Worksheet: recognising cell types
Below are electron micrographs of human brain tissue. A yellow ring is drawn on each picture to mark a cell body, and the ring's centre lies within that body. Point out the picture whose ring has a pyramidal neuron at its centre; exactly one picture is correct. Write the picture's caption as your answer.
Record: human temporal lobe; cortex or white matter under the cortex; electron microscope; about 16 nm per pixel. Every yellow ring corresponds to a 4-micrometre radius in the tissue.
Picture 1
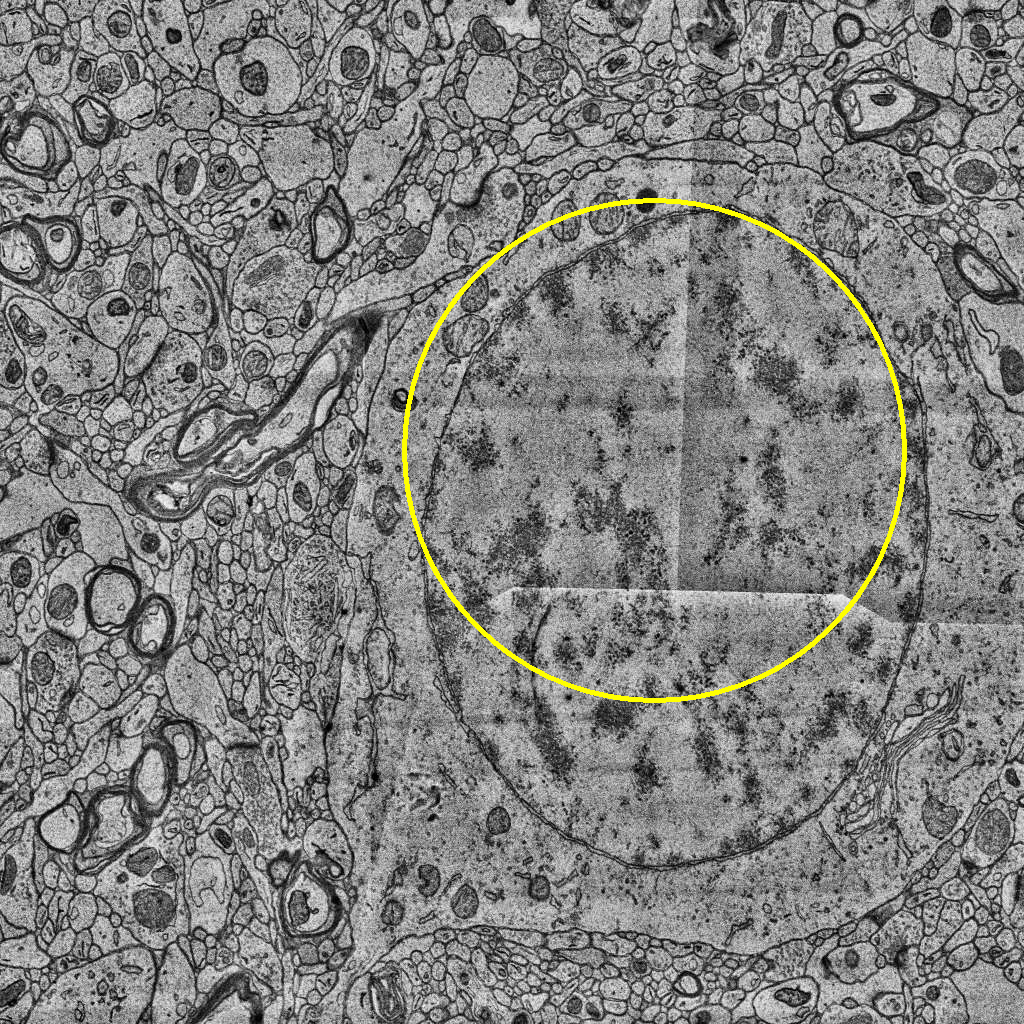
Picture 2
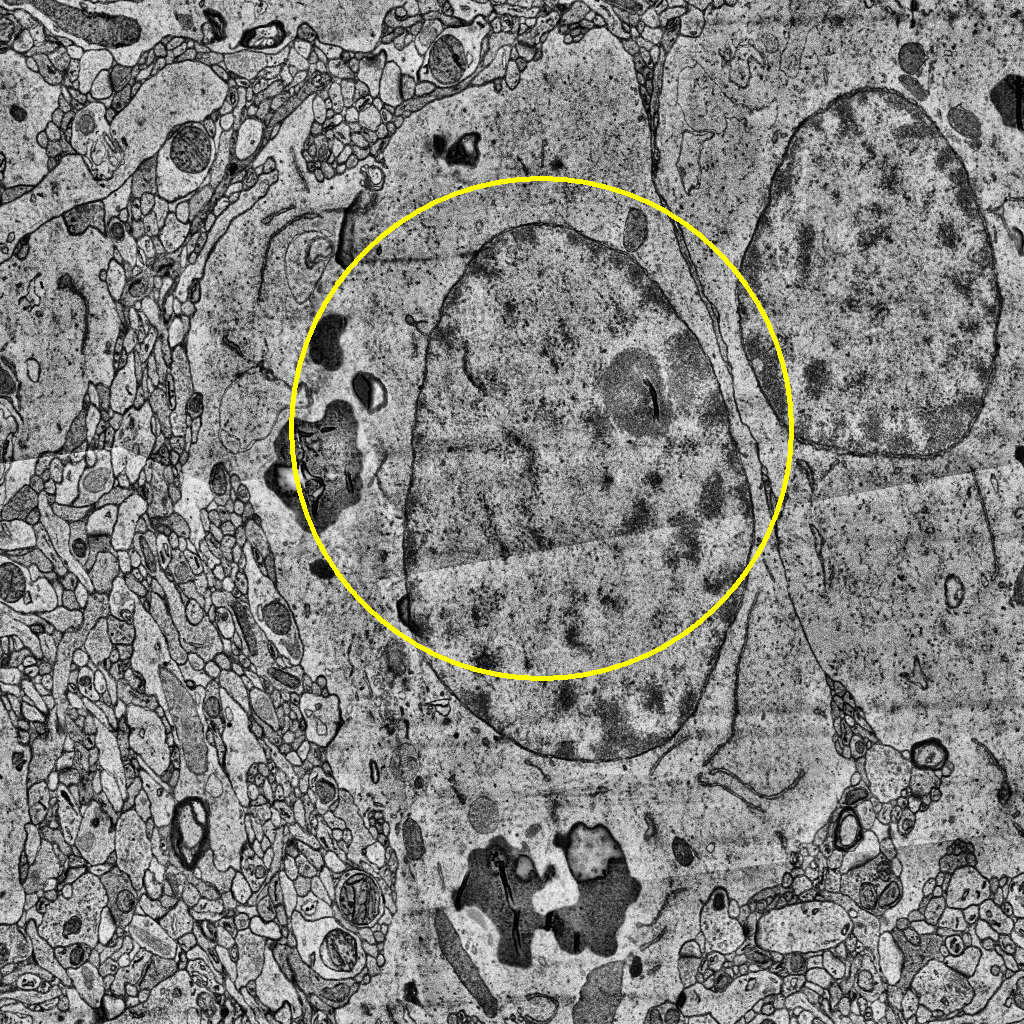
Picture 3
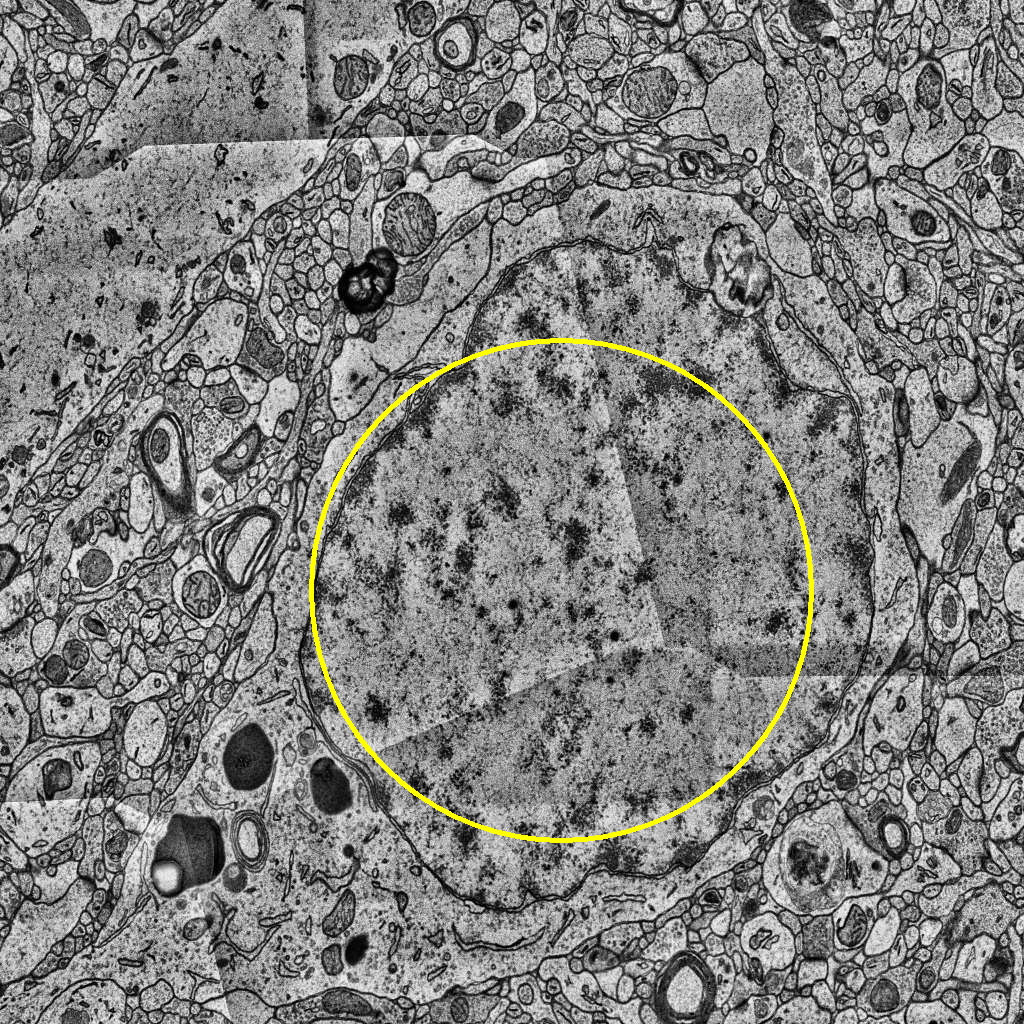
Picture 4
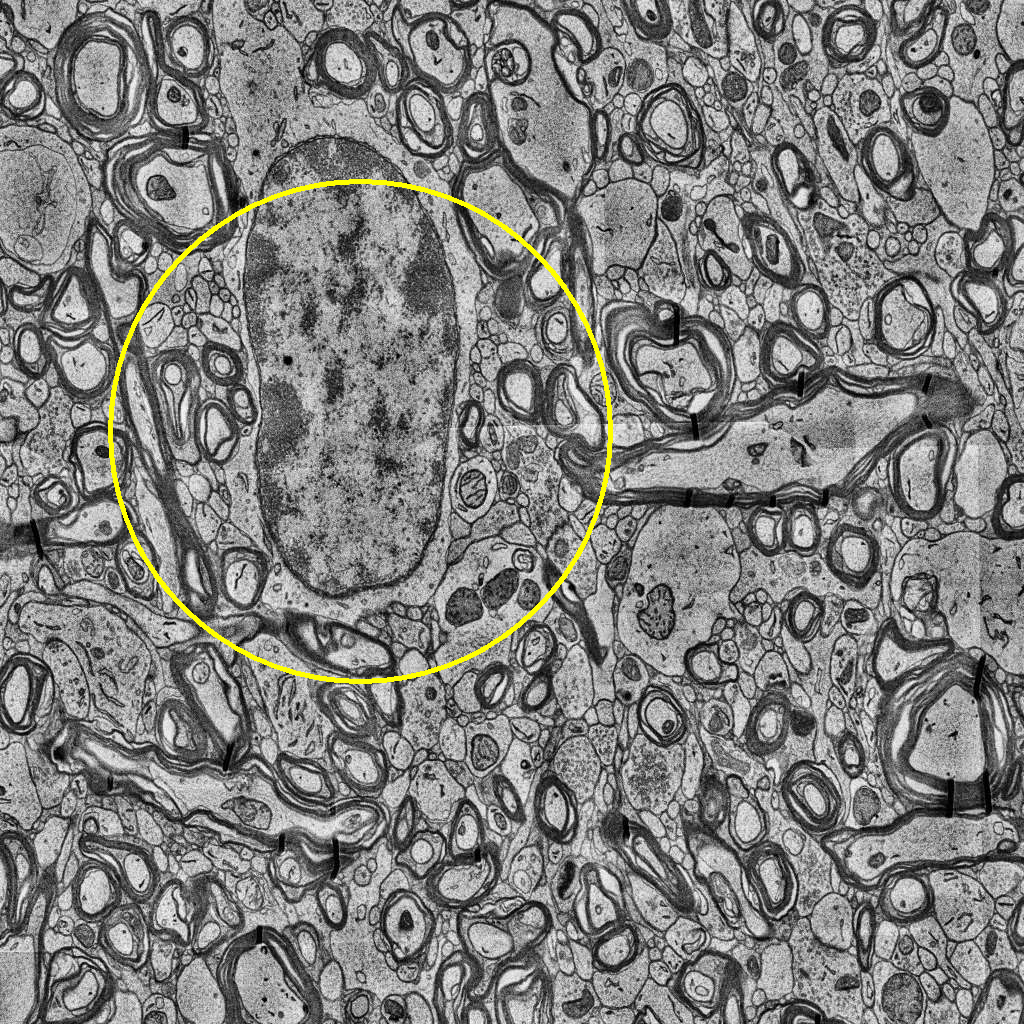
Picture 1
